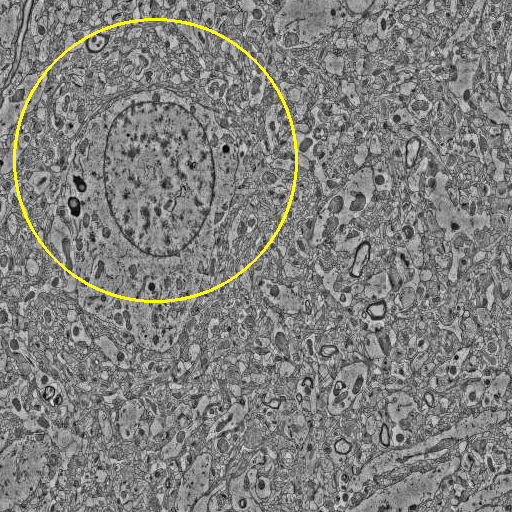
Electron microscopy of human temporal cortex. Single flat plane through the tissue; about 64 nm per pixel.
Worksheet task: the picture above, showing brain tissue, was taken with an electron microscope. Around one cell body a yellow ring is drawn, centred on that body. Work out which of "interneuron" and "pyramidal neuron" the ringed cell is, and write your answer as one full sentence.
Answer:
It is a pyramidal neuron whose cell body lies at the centre of the yellow ring.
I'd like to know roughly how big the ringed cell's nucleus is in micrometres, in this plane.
The nucleus has a long axis of about 10 micrometres and a short axis of about 7 micrometres in this plane.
